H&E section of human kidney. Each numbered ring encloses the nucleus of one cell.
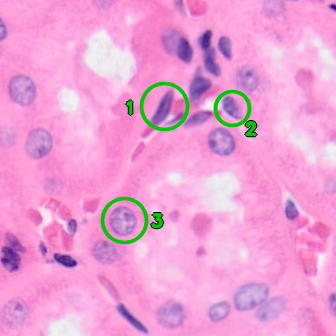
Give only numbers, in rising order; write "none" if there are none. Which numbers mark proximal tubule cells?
3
